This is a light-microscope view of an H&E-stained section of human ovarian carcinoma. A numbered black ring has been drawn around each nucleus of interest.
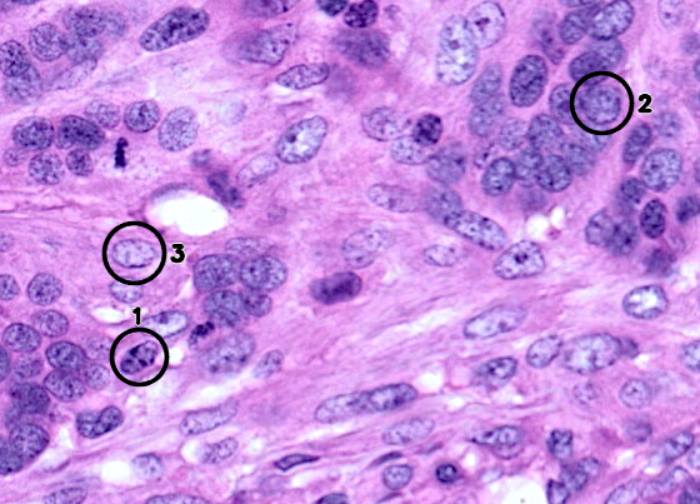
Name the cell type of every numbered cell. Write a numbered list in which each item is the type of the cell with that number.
1. macrophage or monocyte
2. carcinoma cell
3. fibroblast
